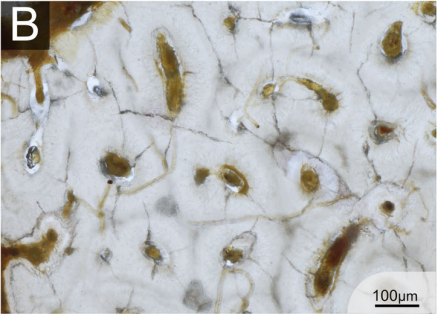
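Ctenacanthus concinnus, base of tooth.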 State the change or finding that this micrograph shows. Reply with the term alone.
concentric growth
